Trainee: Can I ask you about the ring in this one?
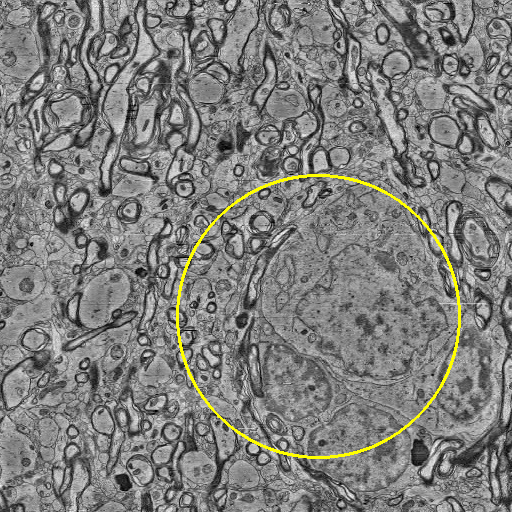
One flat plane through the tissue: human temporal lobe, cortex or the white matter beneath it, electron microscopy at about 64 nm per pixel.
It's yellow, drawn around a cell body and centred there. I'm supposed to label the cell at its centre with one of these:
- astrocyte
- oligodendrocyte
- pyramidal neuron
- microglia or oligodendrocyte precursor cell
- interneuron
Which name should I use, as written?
interneuron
